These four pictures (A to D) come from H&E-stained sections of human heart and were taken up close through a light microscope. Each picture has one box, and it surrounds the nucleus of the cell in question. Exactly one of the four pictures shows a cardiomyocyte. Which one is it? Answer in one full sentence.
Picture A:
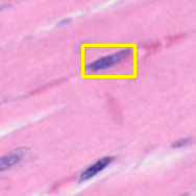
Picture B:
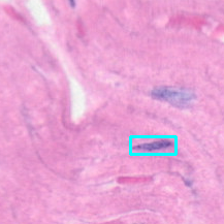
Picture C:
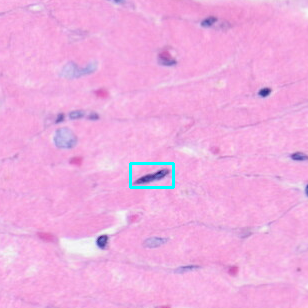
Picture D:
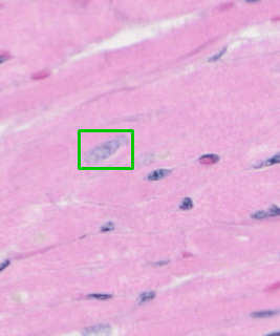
Picture D is the one that shows the cardiomyocyte.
